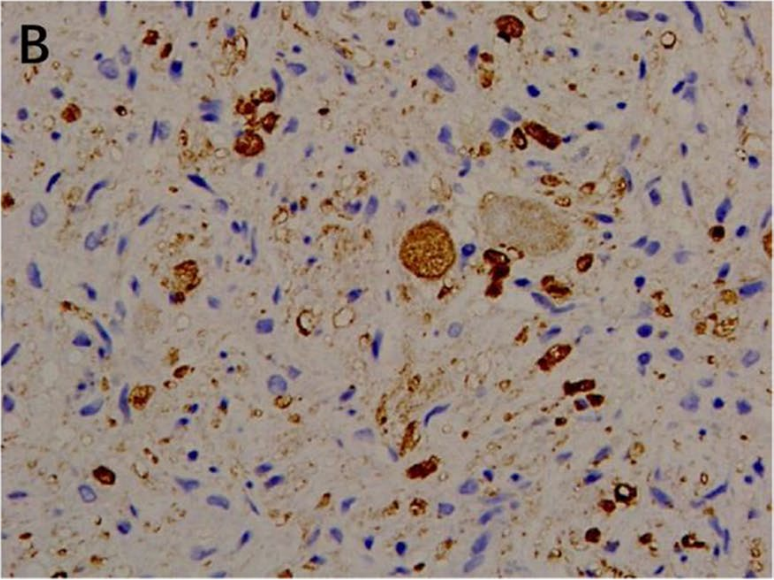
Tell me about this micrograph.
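Spindle-cell tissue with ganglion cells stained brown. A large round ganglion cell in the centre has densely brown granular cytoplasm, and a second large pale polygonal cell lies beside it. Small brown granular bodies and vacuolated brown dots are scattered through the pale fibrillary background, among unstained blue elongated spindle nuclei.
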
